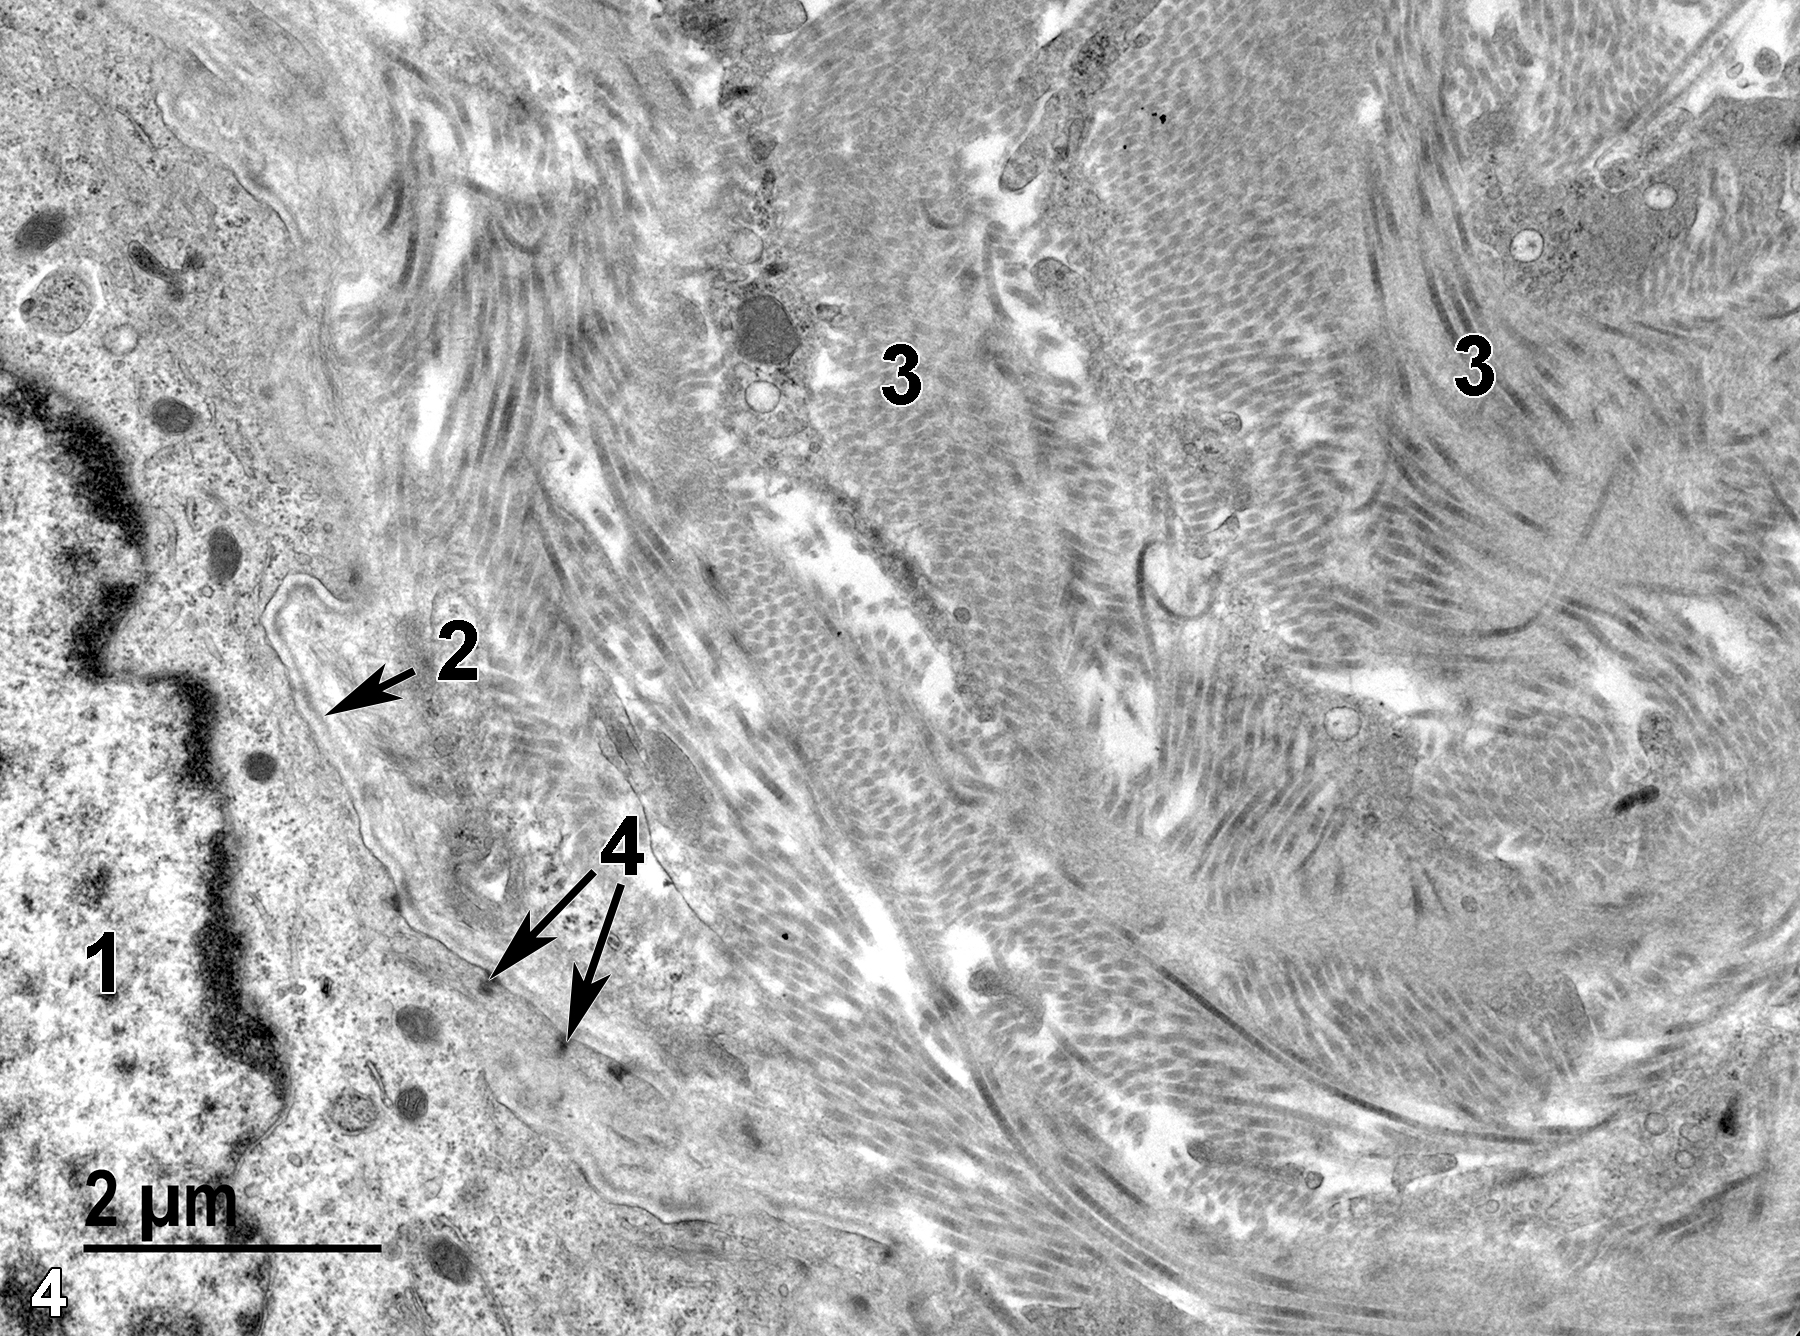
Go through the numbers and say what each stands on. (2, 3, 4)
2: basal lamina
3: collagen fibrils
4: hemi-desmosomes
